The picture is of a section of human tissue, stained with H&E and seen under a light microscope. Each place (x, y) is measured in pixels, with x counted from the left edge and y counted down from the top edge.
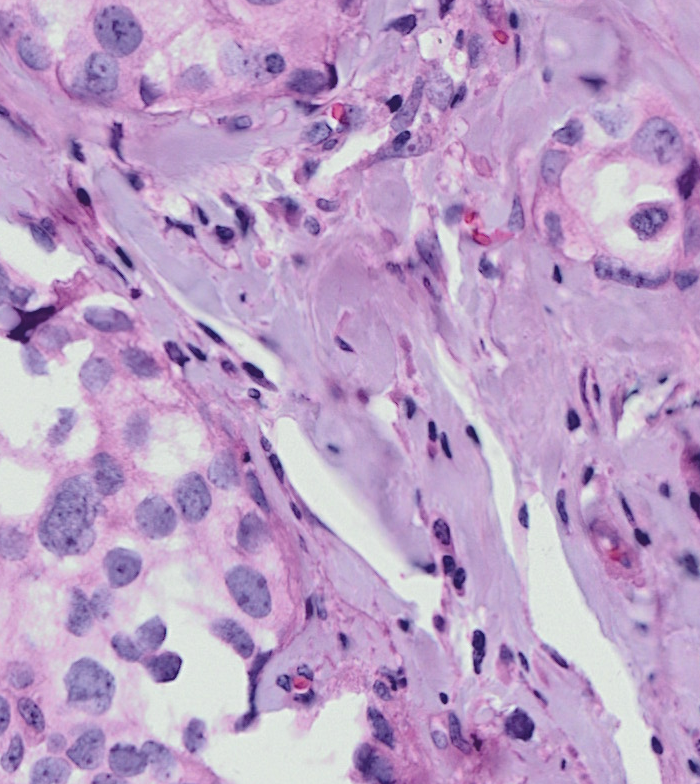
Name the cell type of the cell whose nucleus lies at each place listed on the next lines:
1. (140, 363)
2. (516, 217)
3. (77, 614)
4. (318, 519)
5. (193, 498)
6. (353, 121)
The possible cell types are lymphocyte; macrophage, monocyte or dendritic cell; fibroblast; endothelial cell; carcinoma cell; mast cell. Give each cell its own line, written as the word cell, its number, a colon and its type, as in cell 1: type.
cell 1: carcinoma cell
cell 2: endothelial cell
cell 3: carcinoma cell
cell 4: fibroblast
cell 5: carcinoma cell
cell 6: endothelial cell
